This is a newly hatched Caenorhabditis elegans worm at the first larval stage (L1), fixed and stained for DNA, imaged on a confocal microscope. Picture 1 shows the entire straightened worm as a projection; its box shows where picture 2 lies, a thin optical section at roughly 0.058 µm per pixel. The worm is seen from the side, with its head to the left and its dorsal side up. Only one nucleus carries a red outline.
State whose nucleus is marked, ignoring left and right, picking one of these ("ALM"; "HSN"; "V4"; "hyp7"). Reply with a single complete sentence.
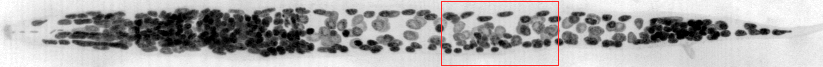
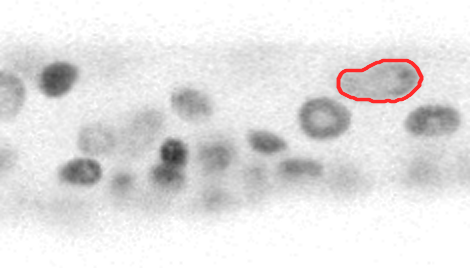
The nucleus is from hyp7, a hypodermal cell (hyp).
